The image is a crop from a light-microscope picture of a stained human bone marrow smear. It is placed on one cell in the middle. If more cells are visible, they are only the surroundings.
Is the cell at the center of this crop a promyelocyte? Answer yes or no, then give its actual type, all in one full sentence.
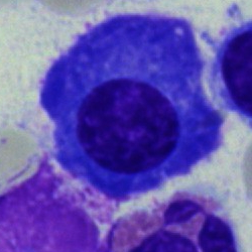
No, the label for the central cell is a plasma cell, not a promyelocyte.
